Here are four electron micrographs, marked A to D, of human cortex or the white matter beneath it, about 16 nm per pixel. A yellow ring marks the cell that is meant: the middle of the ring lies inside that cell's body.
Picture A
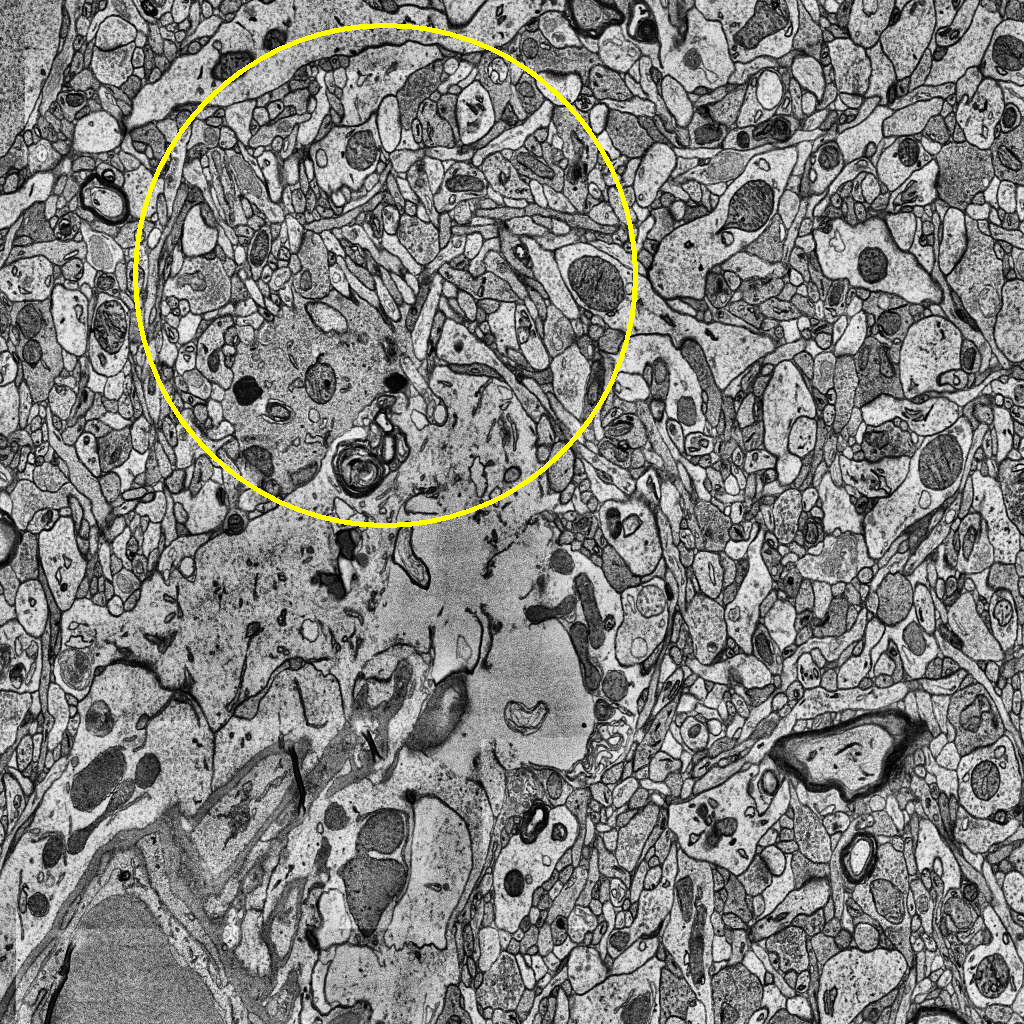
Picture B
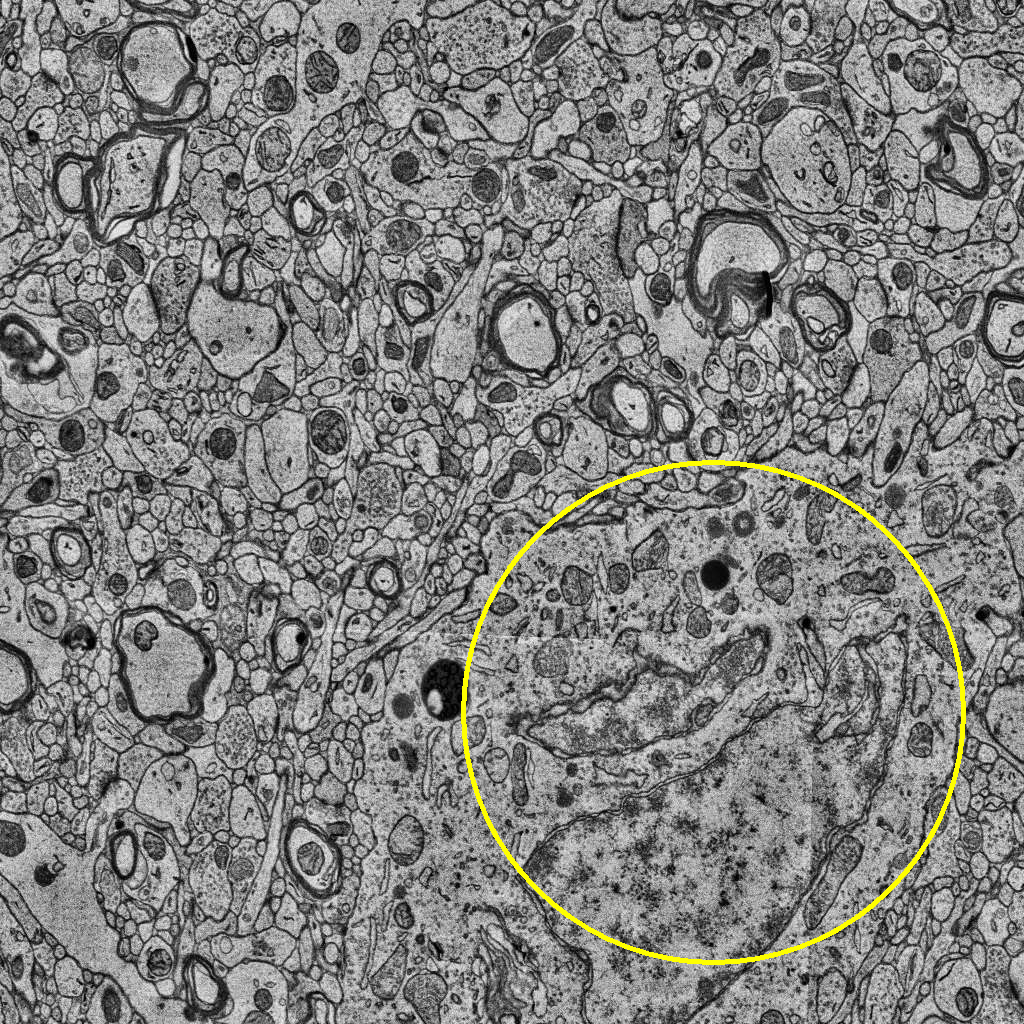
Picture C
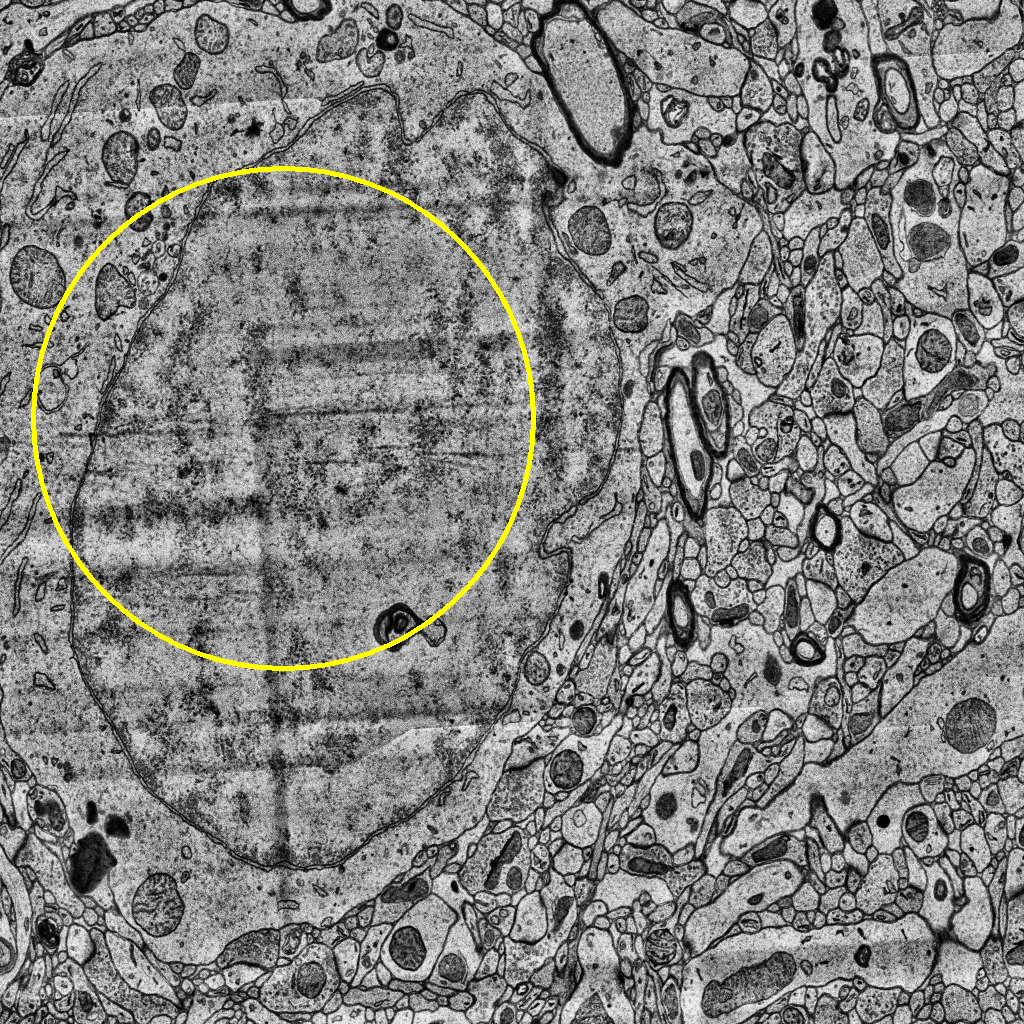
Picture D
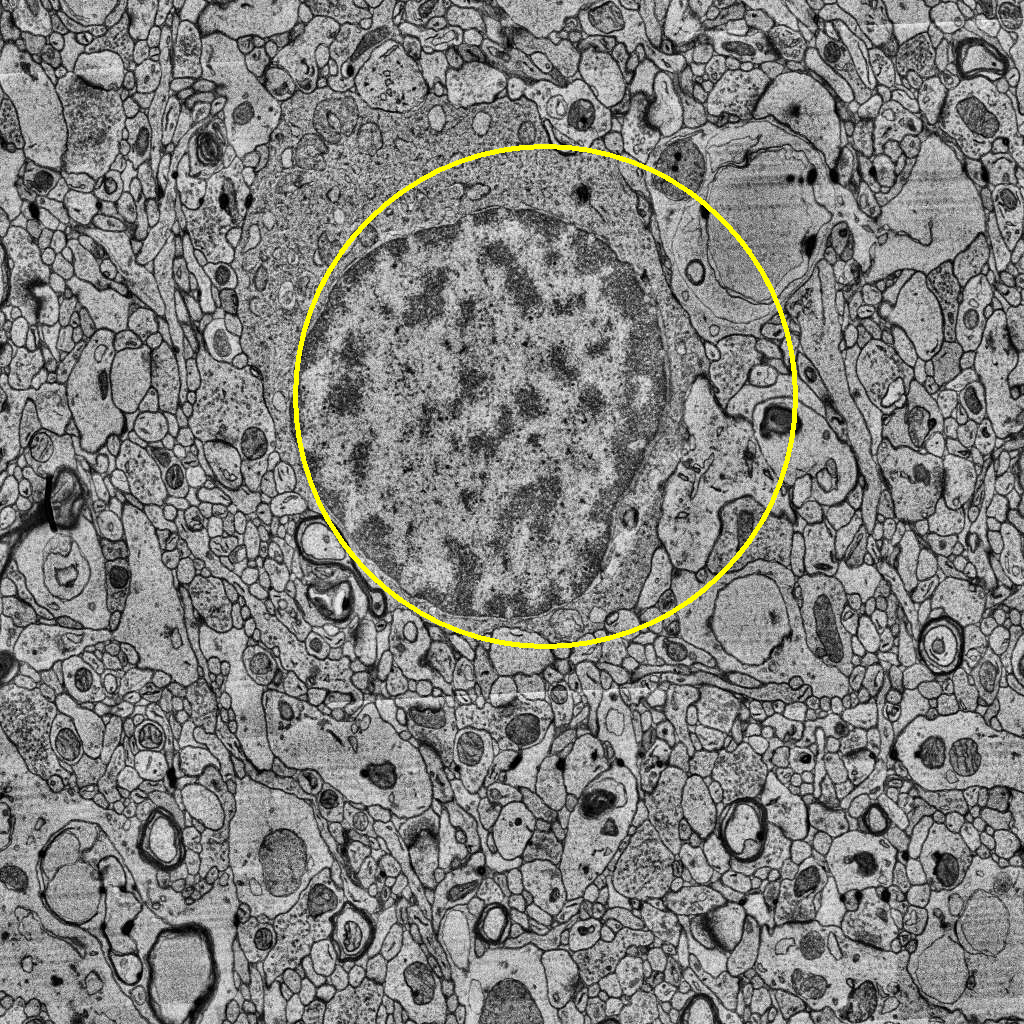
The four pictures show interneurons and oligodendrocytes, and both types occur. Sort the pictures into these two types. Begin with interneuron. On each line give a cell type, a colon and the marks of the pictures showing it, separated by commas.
interneuron: B, C
oligodendrocyte: A, D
